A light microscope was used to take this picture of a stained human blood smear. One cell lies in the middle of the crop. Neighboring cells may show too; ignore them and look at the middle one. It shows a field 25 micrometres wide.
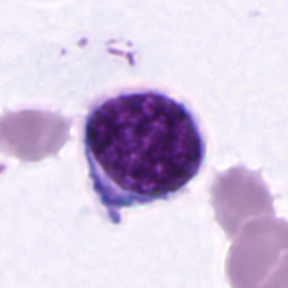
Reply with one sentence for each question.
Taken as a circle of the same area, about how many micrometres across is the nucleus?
It measures about 9 micrometres across.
